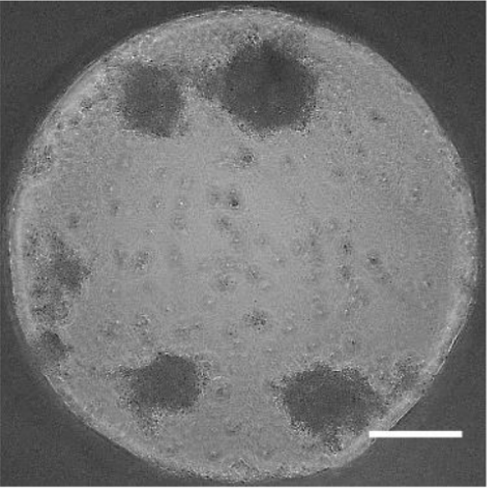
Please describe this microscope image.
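A round, disc-shaped cell aggregate fills the field. Several dark, dense cell clusters sit near its rim, and the broad centre is a paler, flatter sheet with only scattered small dark spots.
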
